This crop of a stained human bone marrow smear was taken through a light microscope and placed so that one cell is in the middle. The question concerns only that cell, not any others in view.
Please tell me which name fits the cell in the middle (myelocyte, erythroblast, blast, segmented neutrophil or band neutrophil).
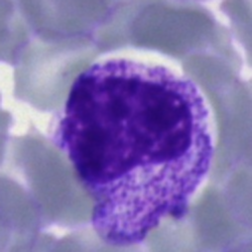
myelocyte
